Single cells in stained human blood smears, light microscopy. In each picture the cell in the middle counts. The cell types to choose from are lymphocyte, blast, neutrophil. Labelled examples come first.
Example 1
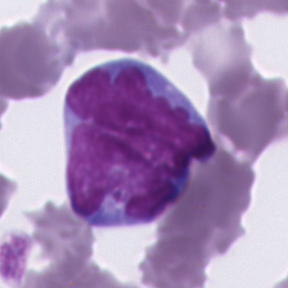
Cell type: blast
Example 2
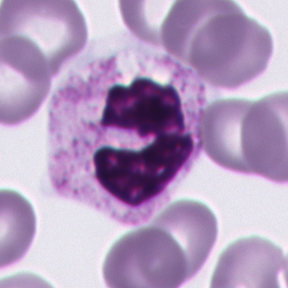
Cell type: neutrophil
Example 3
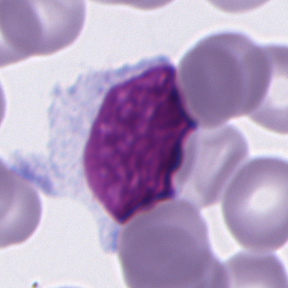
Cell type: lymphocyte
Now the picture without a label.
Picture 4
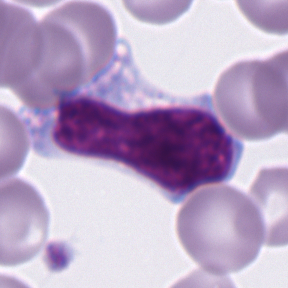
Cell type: lymphocyte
